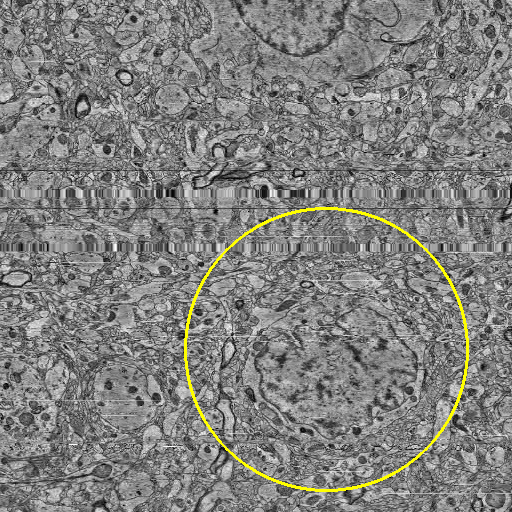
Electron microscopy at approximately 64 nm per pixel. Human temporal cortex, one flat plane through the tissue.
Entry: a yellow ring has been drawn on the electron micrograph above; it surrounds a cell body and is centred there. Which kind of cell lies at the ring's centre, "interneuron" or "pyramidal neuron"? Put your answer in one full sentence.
The cell sitting at the ring's centre is an interneuron in the micrograph above.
